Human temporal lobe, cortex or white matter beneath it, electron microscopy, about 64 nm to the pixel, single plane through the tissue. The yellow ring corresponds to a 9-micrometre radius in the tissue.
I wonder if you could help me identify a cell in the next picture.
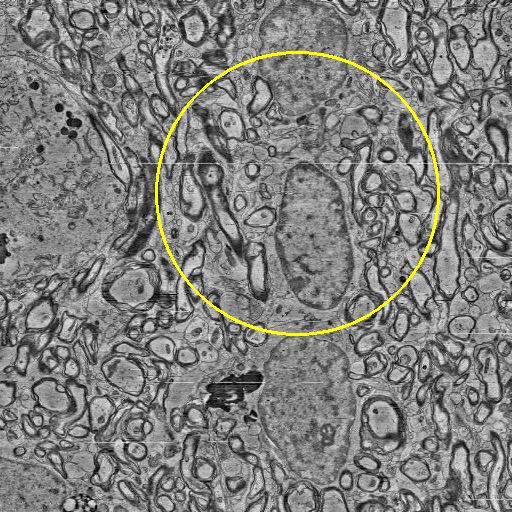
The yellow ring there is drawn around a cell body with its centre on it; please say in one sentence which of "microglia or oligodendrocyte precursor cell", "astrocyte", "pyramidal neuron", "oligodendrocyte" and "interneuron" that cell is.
The yellow ring is centred on a microglial cell or oligodendrocyte precursor cell.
